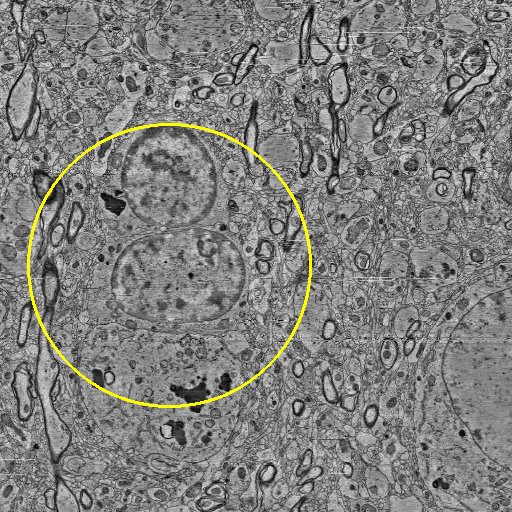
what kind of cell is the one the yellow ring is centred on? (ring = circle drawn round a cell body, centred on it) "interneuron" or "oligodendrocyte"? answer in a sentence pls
The ring is drawn around an oligodendrocyte.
